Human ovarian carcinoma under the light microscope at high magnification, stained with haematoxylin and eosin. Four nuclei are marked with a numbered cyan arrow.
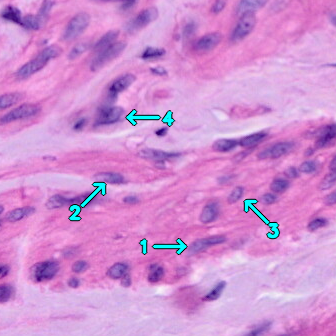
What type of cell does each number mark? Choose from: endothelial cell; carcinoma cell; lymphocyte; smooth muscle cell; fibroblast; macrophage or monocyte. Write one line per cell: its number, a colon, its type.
1: smooth muscle cell
2: smooth muscle cell
3: smooth muscle cell
4: endothelial cell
